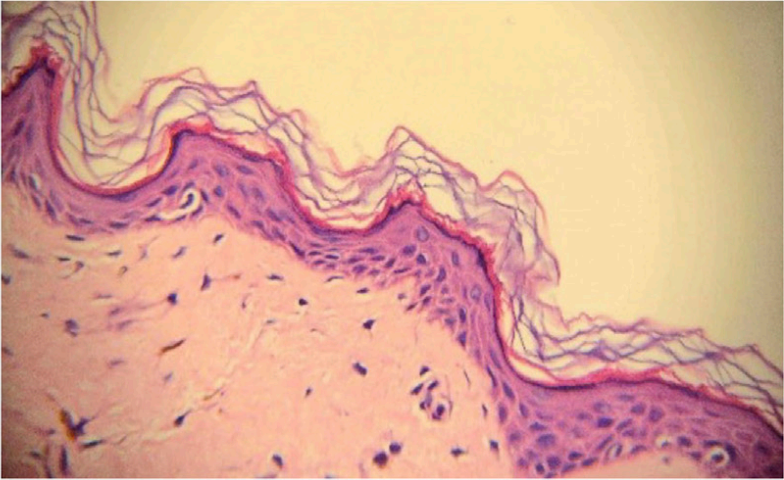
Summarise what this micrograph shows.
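Skin section with a thin stratified squamous epidermis over a loose pink dermis. The epidermis is a few cell layers thick, with purple keratinocyte nuclei and a thin bright red-pink band at the top of the living layers. Above it the keratin layer is loose and wavy, in a basket-weave pattern. The dermis beneath holds scattered spindle-shaped fibroblast nuclei and small vessels in pale pink collagen.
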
